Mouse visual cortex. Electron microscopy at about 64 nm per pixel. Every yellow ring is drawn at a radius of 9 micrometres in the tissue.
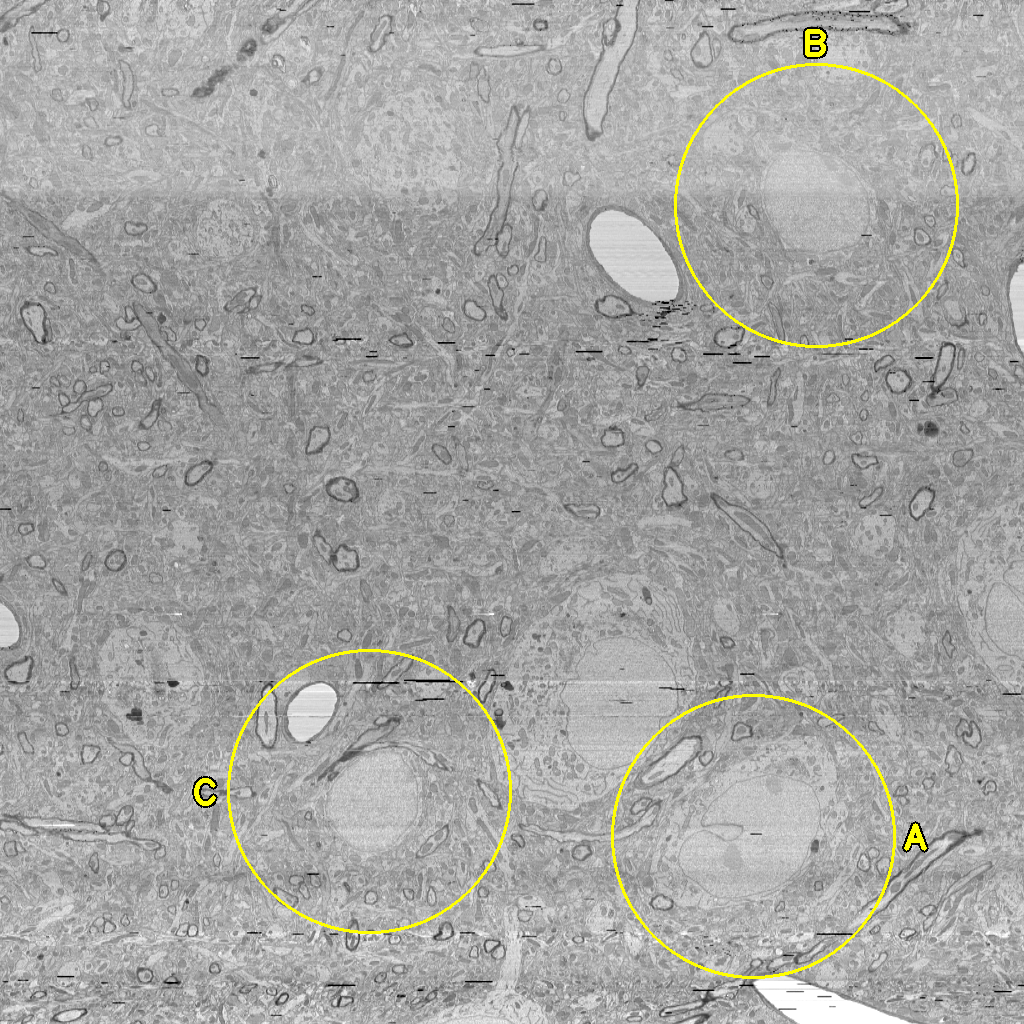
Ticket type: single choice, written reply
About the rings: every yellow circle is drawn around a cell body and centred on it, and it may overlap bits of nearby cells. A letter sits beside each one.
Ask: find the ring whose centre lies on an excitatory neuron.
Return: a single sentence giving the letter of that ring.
At the centre of the ring marked A lies the cell asked for.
